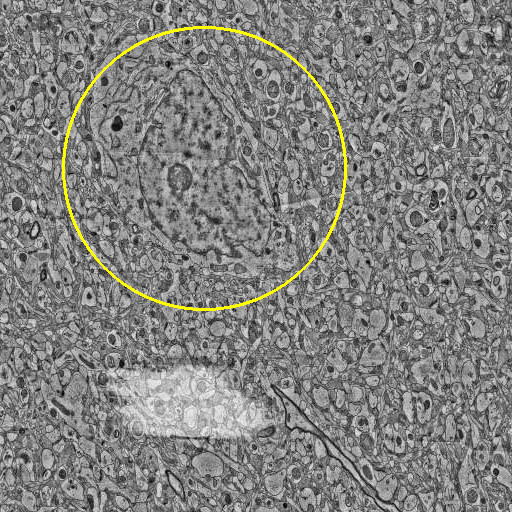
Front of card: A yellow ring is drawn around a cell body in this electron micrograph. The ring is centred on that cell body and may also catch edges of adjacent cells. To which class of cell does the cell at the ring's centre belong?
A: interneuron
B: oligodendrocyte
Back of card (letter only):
A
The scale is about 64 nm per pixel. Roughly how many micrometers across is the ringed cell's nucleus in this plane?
Approximately 11 x 8 micrometres in this plane.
